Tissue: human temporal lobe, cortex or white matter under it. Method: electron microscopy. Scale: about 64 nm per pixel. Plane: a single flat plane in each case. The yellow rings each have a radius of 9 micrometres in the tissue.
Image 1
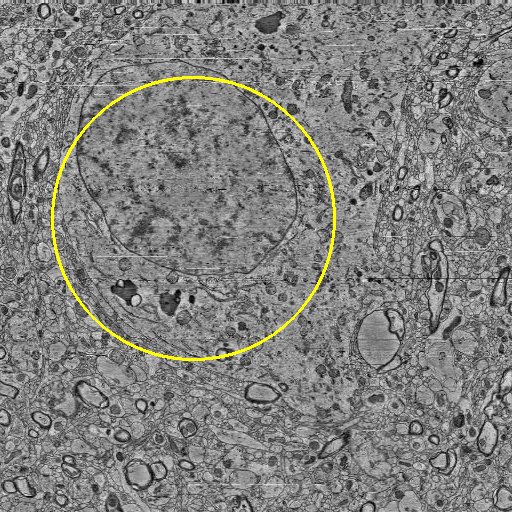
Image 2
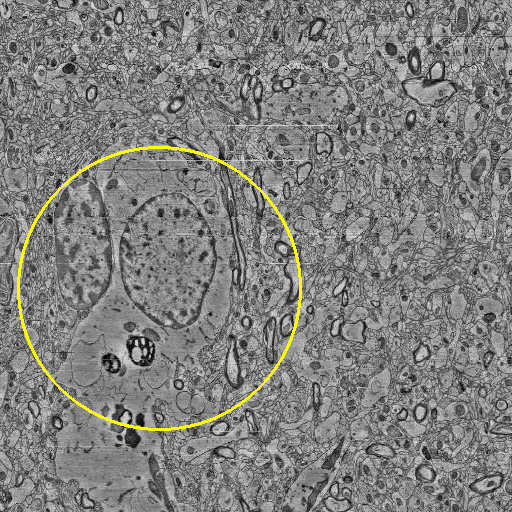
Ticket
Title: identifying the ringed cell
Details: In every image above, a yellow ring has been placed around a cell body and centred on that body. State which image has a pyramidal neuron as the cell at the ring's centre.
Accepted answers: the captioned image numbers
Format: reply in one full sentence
The ring in image 1 is centred on the cell in question.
